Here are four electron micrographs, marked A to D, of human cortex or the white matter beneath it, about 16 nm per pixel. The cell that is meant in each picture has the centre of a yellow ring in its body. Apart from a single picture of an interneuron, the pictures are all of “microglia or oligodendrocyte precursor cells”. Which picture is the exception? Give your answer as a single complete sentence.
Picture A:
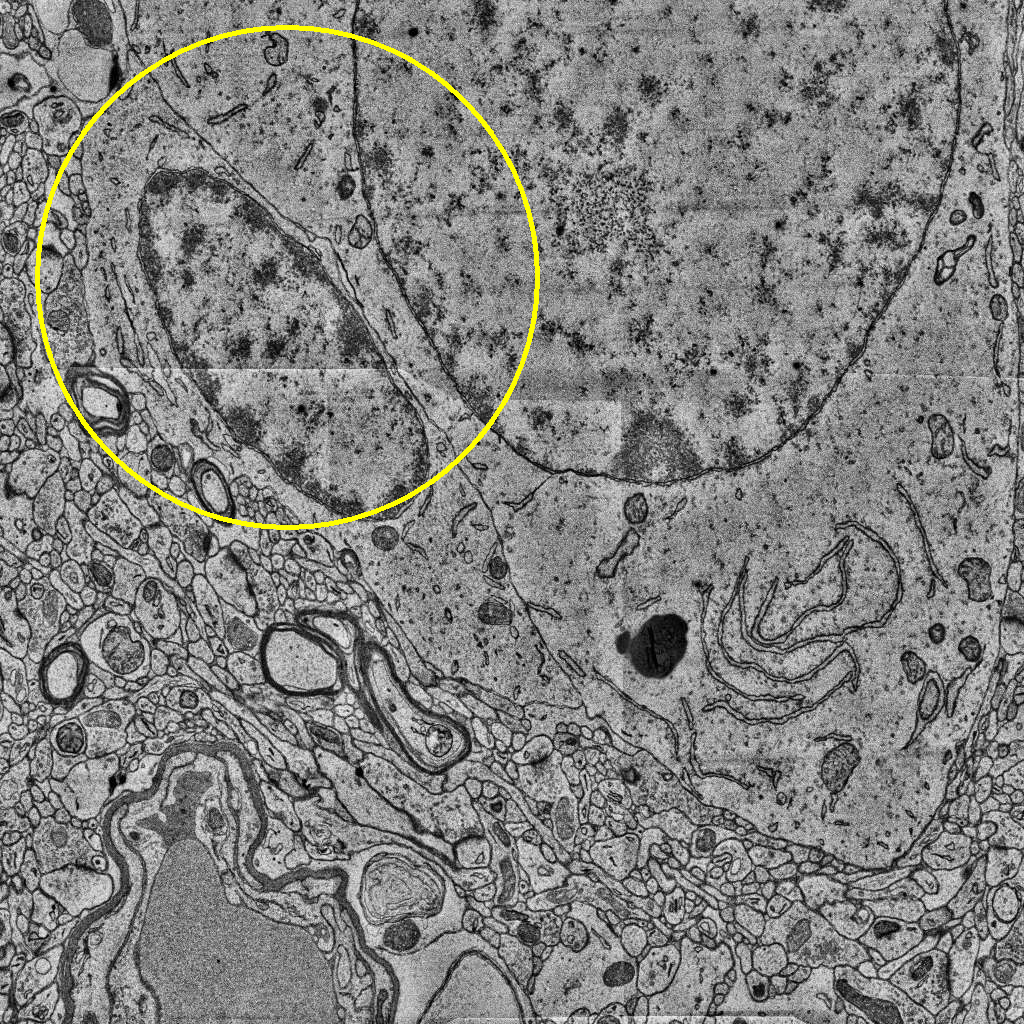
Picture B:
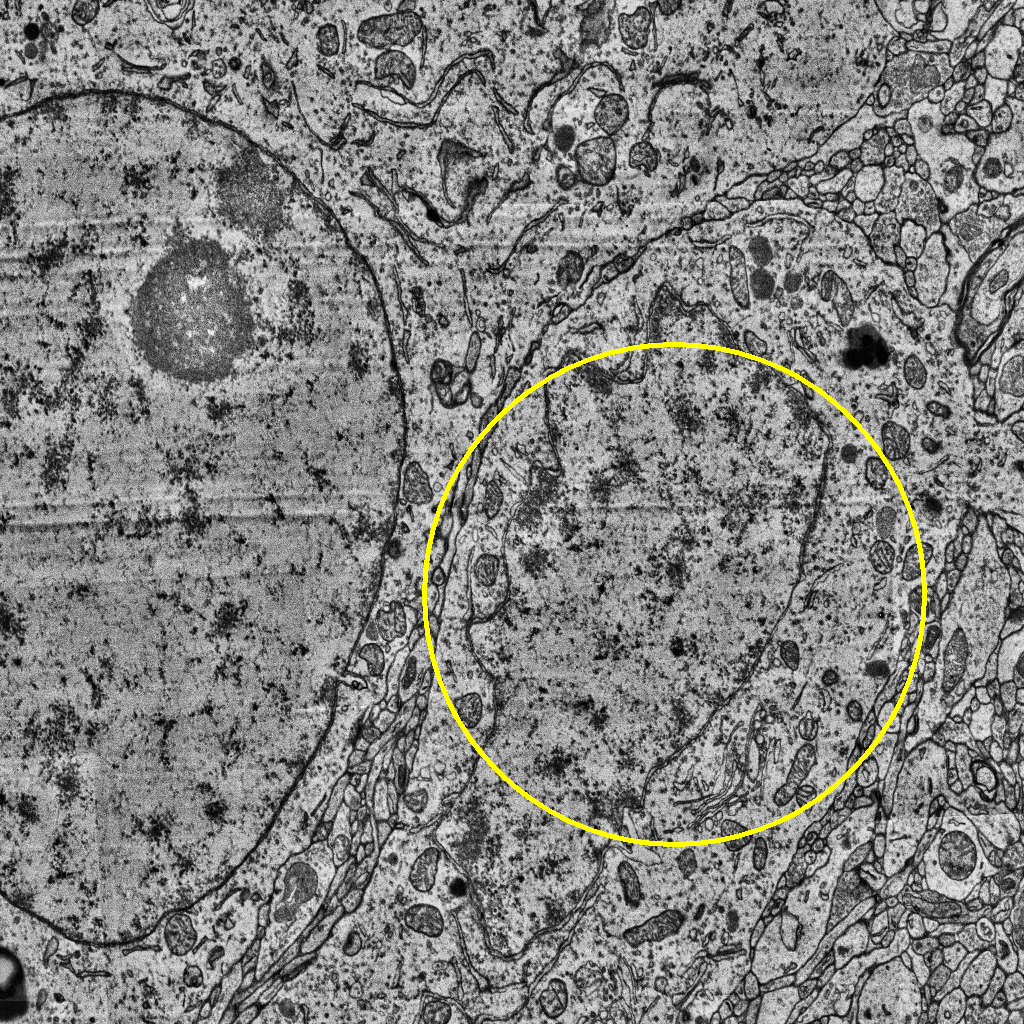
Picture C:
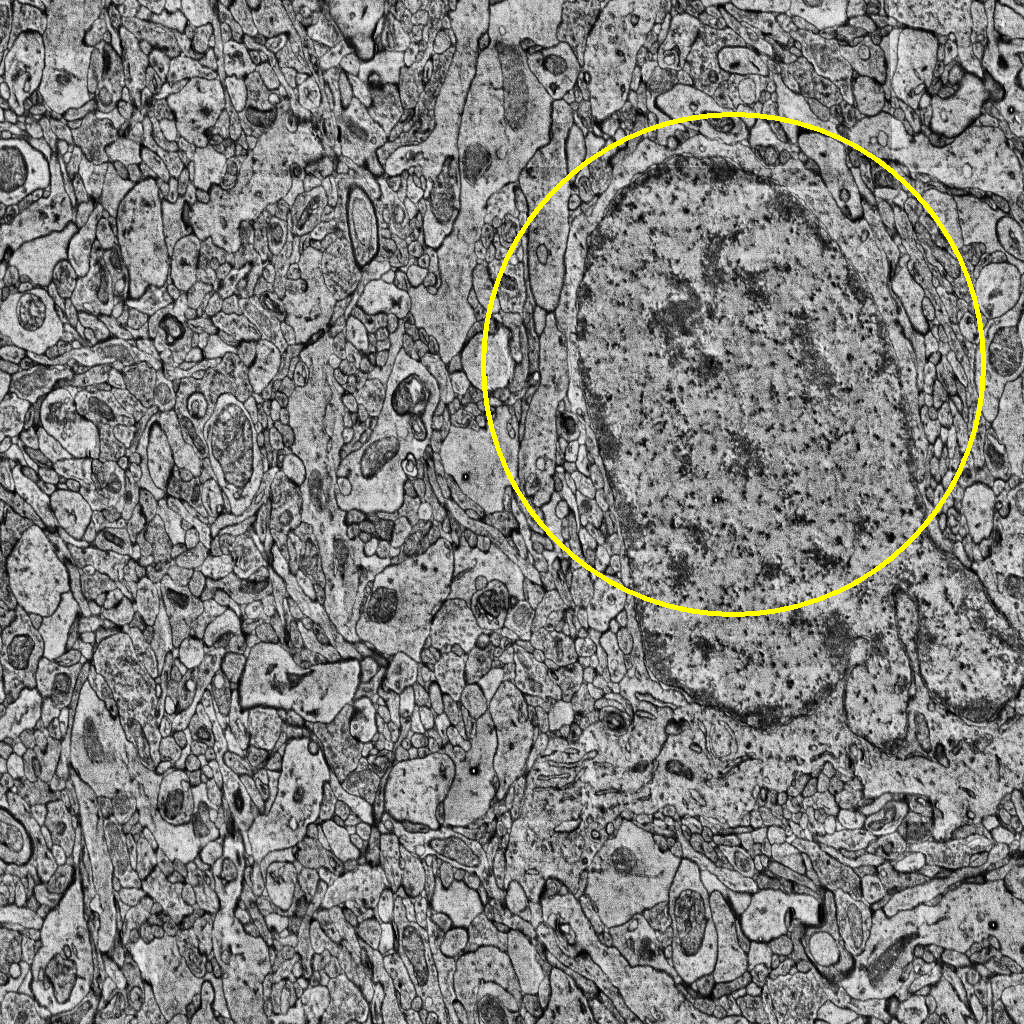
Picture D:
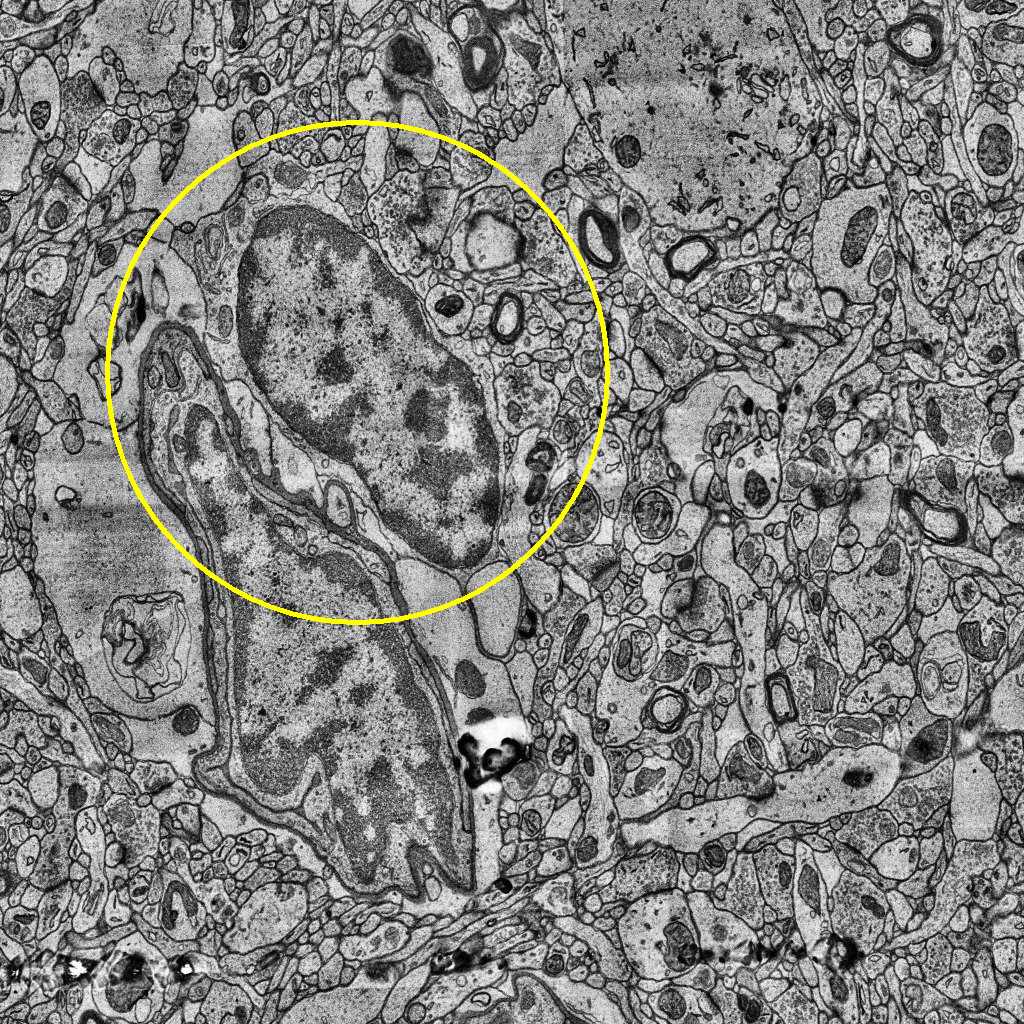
Picture B shows the interneuron.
